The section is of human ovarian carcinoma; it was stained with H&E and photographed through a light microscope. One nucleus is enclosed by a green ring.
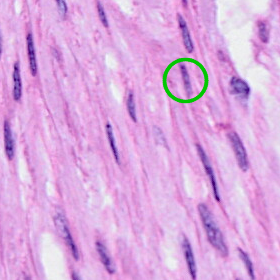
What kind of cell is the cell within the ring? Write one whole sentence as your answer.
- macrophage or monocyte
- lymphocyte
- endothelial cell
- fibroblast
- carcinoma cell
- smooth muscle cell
It is a fibroblast that the cell within the ring represents.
